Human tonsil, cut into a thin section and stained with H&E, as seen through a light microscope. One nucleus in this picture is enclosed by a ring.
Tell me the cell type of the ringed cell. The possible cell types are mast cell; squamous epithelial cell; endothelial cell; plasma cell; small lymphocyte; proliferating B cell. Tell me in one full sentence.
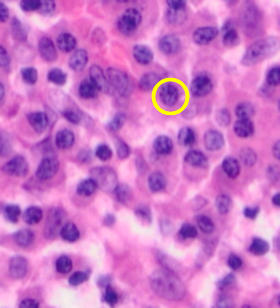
In the stained section, the ringed cell is a plasma cell.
